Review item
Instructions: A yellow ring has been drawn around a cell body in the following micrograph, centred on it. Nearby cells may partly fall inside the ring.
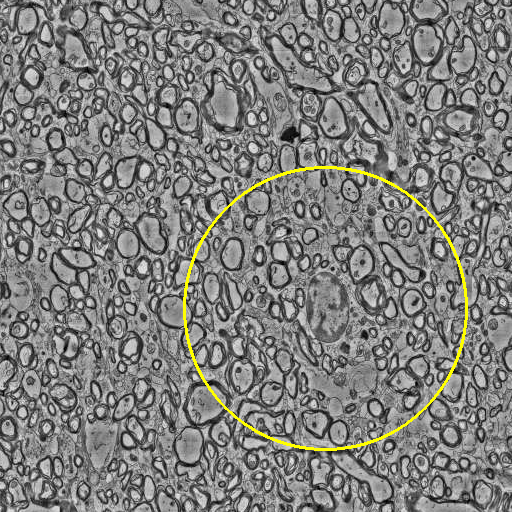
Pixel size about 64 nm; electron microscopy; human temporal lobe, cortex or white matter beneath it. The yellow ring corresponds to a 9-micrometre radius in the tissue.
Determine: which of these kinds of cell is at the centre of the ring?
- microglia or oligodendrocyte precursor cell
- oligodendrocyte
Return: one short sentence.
The cell body in the middle of the ring is that of a microglial cell or oligodendrocyte precursor cell.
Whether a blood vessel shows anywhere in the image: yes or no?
No, the picture includes no blood vessel.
